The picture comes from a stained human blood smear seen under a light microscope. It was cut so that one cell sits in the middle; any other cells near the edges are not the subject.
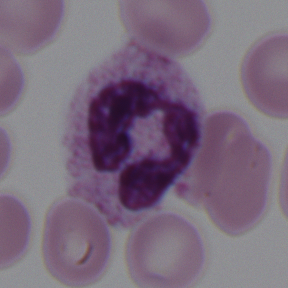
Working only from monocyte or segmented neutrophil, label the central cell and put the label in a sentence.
The cell of interest, in the center, is a segmented neutrophil.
